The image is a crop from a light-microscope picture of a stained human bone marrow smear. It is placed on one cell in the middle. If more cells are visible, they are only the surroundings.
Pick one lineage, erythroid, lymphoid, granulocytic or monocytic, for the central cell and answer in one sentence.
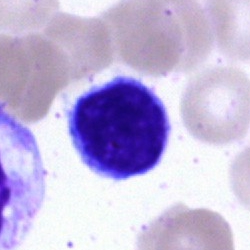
The cell positioned centrally in this crop arises from the lymphoid lineage.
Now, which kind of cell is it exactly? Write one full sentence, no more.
This crop's central cell is a lymphocyte.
